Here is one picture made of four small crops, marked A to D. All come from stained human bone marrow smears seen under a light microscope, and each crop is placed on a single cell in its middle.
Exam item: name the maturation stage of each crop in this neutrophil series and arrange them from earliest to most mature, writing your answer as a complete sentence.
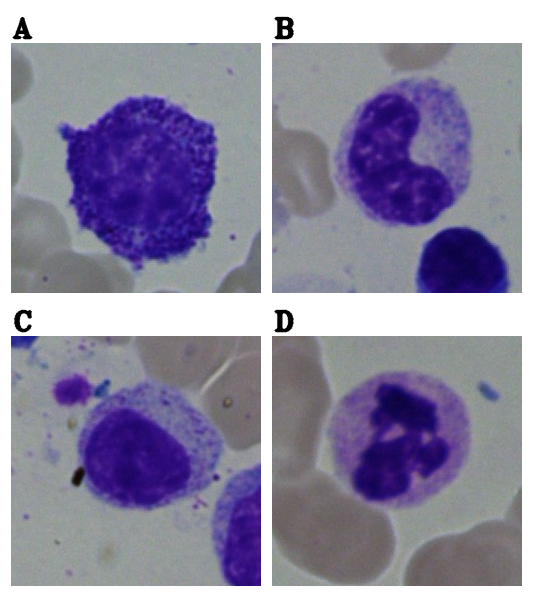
The sequence from earliest to latest maturation stage is crop A (a promyelocyte), crop C (a myelocyte), crop B (a metamyelocyte) and crop D (a segmented neutrophil).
